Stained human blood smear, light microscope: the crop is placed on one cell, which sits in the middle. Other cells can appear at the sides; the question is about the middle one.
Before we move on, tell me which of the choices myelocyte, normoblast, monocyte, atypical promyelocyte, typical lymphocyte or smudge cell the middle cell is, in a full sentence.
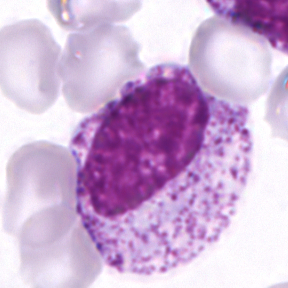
In short, the cell at the center is a myelocyte.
